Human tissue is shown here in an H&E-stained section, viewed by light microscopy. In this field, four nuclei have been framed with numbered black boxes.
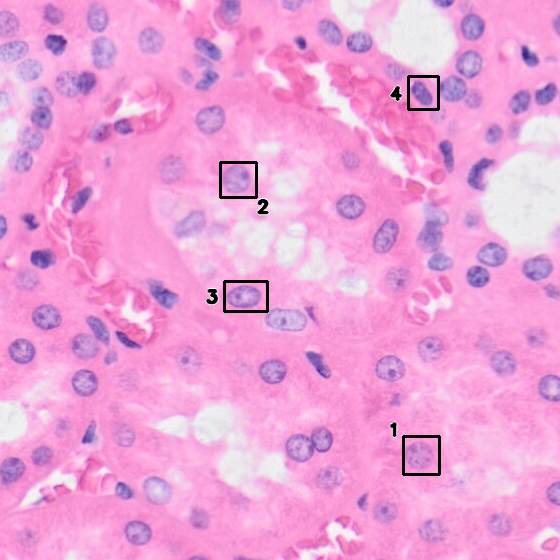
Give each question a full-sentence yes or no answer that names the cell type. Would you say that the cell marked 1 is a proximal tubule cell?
Yes, as for number 1, the cell is a proximal tubule cell.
